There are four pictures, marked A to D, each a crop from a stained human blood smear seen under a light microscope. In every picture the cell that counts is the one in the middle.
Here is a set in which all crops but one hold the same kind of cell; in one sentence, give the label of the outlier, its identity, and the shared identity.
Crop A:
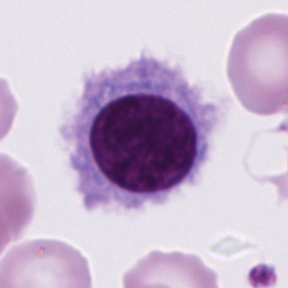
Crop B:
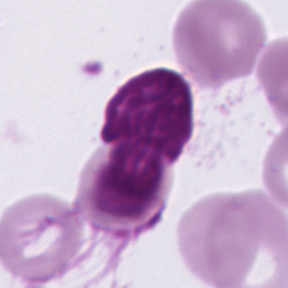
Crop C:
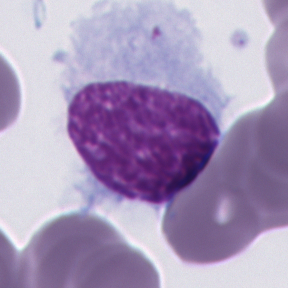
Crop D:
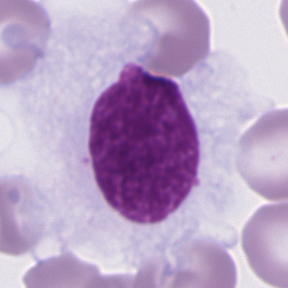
Found in all crops but one are hairy cells; the exception, crop B, contains a smudge cell.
